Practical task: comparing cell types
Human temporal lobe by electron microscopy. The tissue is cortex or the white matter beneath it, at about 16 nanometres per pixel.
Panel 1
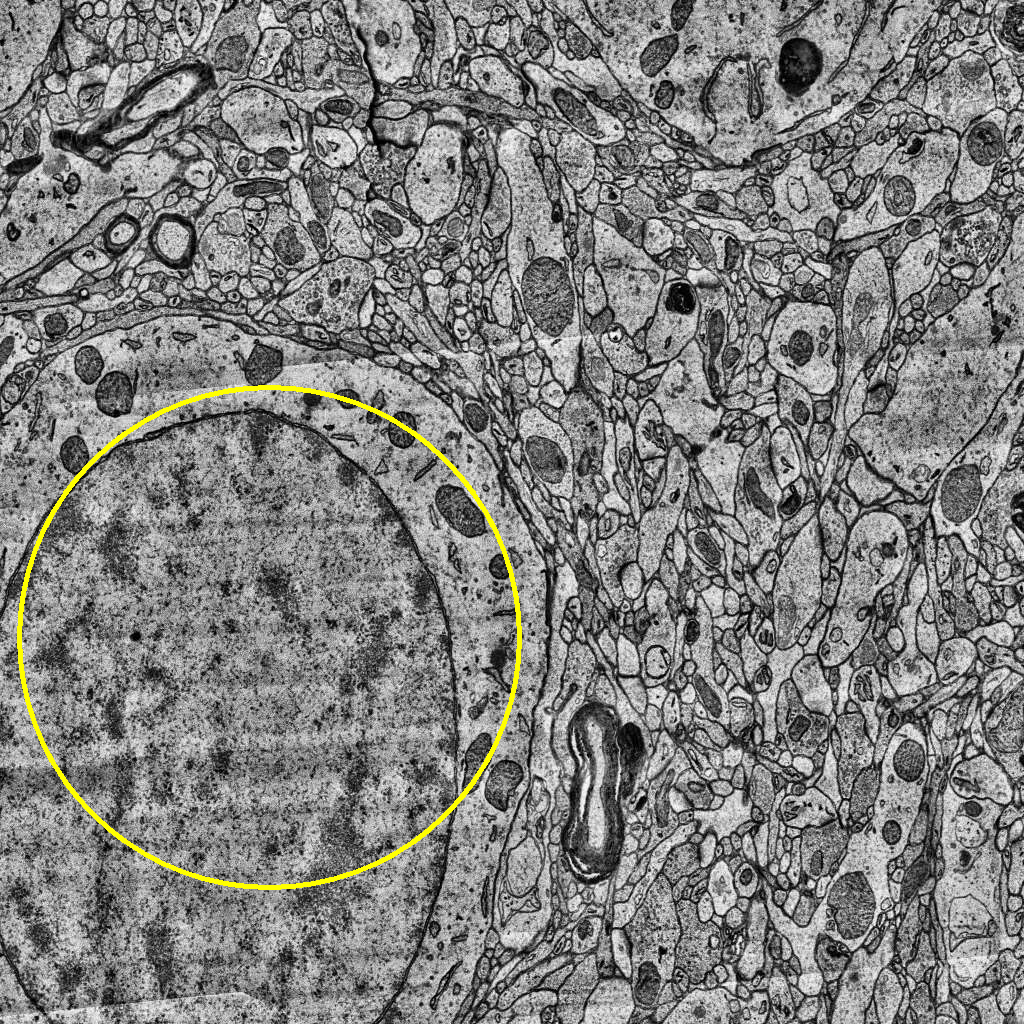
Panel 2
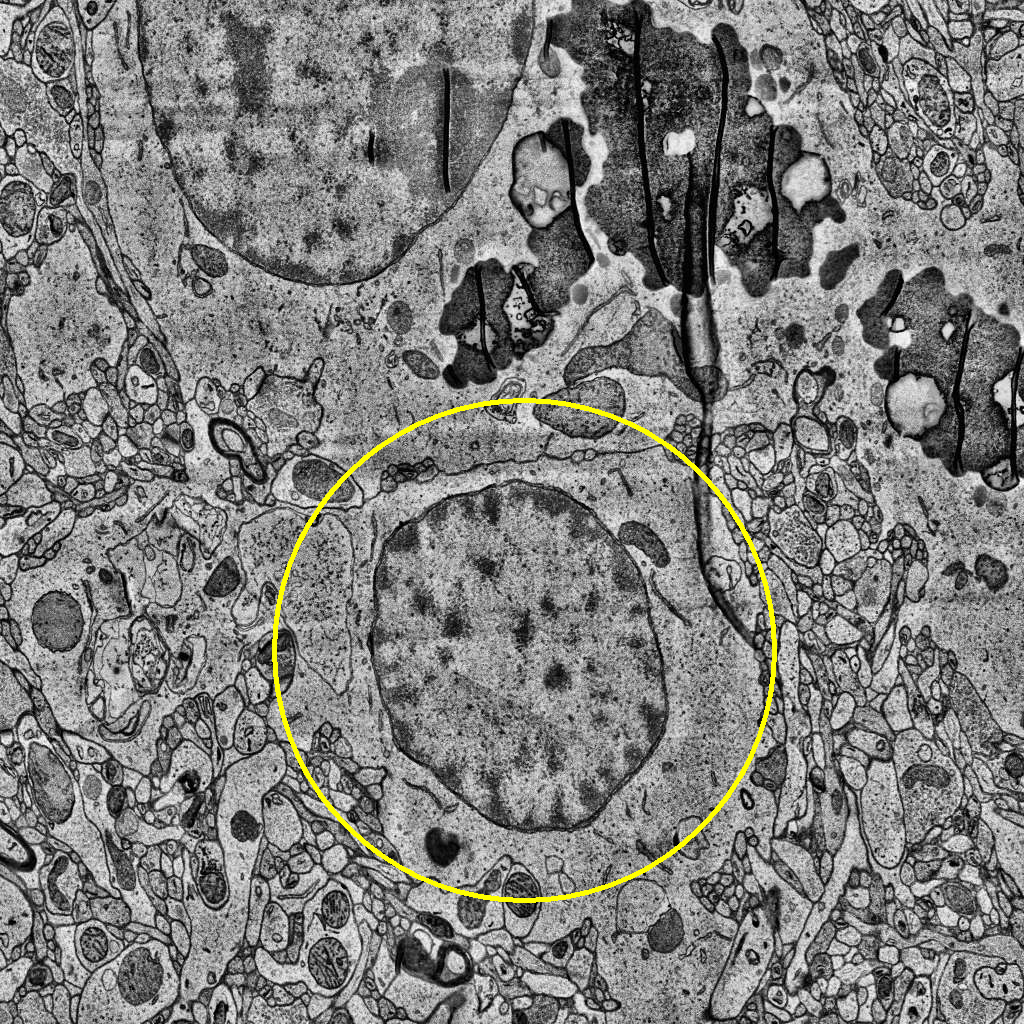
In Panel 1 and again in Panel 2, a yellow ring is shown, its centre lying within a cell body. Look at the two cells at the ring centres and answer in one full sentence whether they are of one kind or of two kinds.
The two cells sitting at the ring centres of Panels 1 and 2 are of two kinds.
